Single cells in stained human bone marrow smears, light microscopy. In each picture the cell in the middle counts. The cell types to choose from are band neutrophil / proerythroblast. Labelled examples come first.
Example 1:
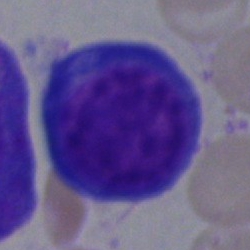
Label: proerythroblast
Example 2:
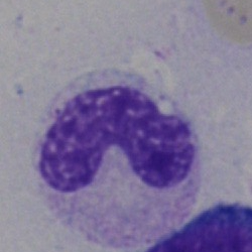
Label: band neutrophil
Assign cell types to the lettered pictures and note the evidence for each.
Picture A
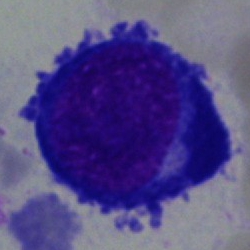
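proerythroblast. Evidence: The chromatin appears finely stippled rather than gathered into coarse dark clumps.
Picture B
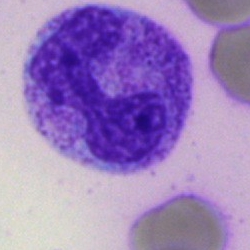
band neutrophil. Evidence: Fine purple granules are scattered through the cytoplasm.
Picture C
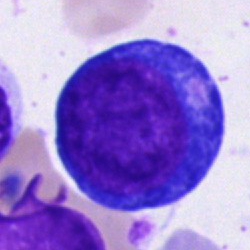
proerythroblast. Evidence: The chromatin is finely granular rather than coarsely clumped.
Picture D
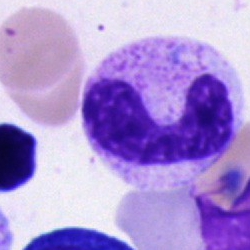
band neutrophil. Evidence: The chromatin is dark purple and coarsely clumped.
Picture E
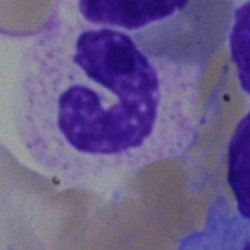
band neutrophil. Evidence: The nucleus is a single unsegmented band bent into a curved, hook-like shape.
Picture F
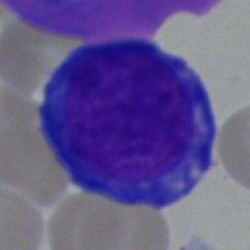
proerythroblast. Evidence: The cytoplasm forms only a thin rim around the nucleus.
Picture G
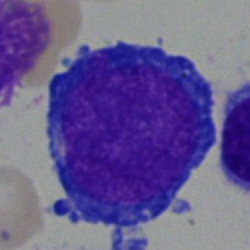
proerythroblast. Evidence: The cytoplasm forms only a thin rim around the nucleus.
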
